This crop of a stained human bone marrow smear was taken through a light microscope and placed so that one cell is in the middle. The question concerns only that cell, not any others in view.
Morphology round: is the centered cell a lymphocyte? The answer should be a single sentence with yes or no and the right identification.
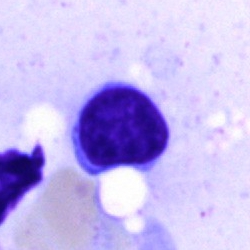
Yes, the cell of interest in the middle is a lymphocyte.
